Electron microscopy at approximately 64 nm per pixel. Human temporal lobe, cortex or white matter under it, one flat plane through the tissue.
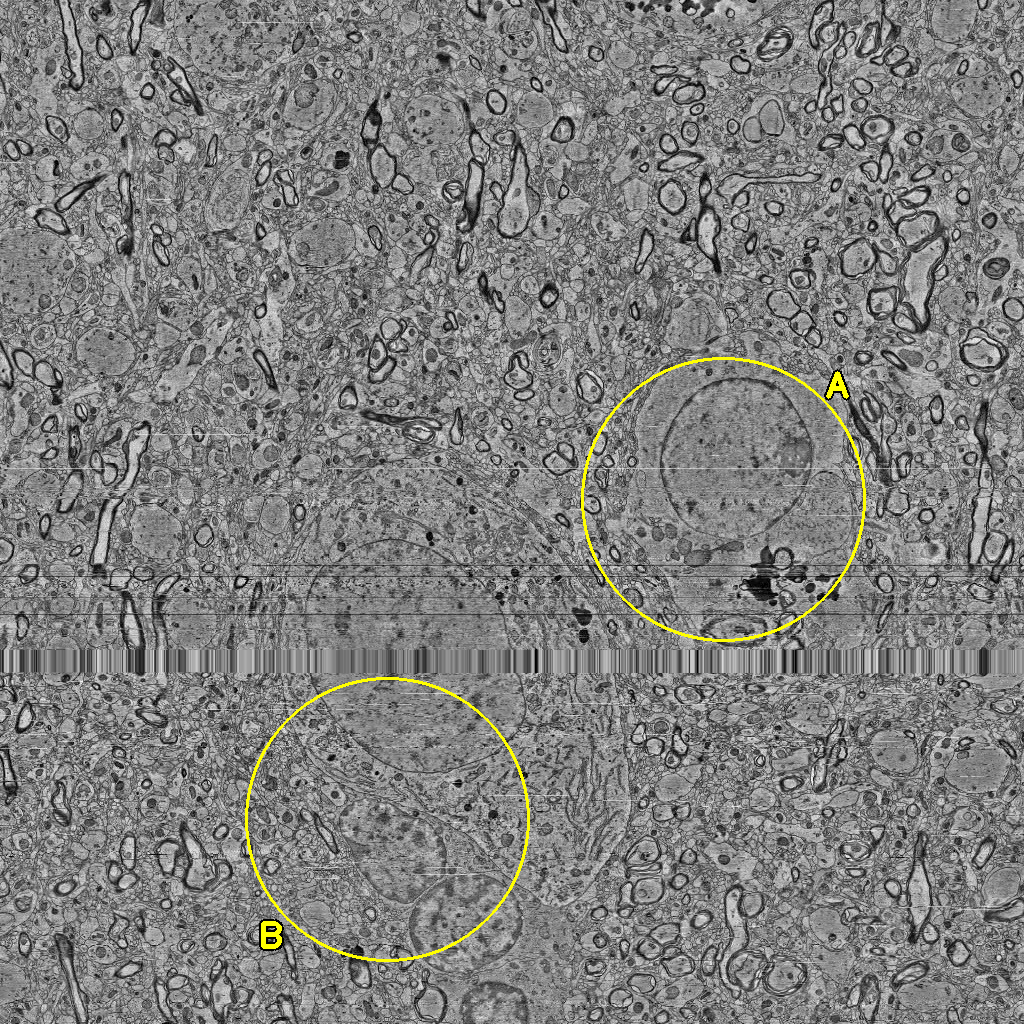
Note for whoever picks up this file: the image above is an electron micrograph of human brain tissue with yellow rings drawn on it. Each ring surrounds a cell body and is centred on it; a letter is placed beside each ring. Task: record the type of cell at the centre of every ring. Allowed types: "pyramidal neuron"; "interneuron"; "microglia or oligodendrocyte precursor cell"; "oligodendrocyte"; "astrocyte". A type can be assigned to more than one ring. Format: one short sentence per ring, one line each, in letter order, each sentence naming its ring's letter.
The ring marked A is centred on an astrocyte.
The ring marked B is centred on an oligodendrocyte.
